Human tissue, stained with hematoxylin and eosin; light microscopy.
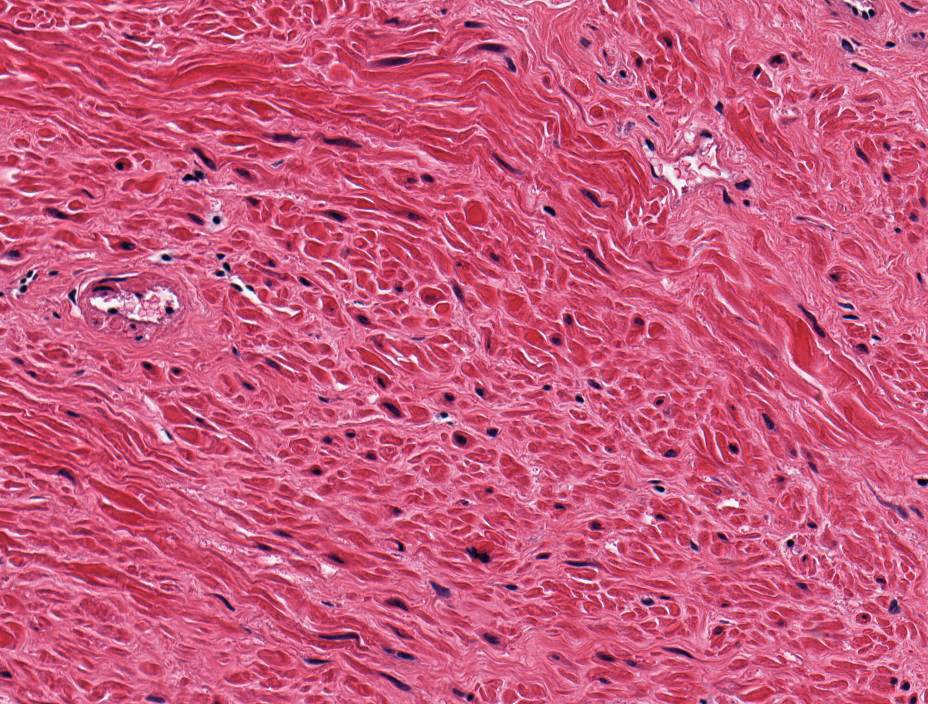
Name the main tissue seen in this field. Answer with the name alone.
fibromuscular stroma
